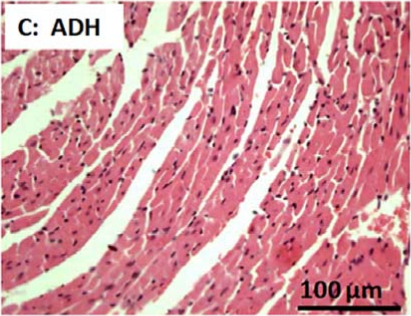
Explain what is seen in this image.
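This section of heart muscle shows cardiomyocytes arranged in long parallel bundles running diagonally across the field. The cells have pink-staining cytoplasm and small, dark, oval nuclei. Narrow pale gaps separate the cells, and wider pale clefts separate the bundles from one another.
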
